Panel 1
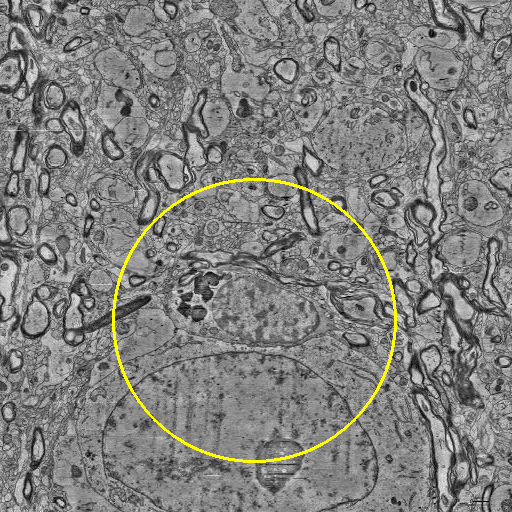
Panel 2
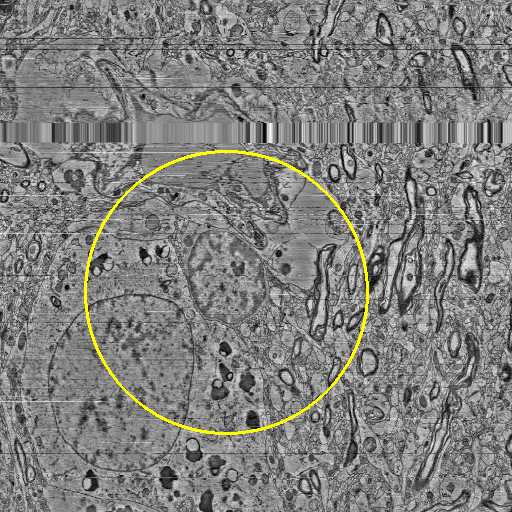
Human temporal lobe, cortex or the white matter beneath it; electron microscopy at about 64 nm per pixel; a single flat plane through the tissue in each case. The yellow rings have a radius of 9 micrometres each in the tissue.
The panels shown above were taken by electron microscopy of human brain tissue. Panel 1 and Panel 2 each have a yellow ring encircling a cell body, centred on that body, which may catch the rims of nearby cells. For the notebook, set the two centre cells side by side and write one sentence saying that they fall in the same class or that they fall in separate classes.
The centred cells of Panel 1 and Panel 2 fall in the same class.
